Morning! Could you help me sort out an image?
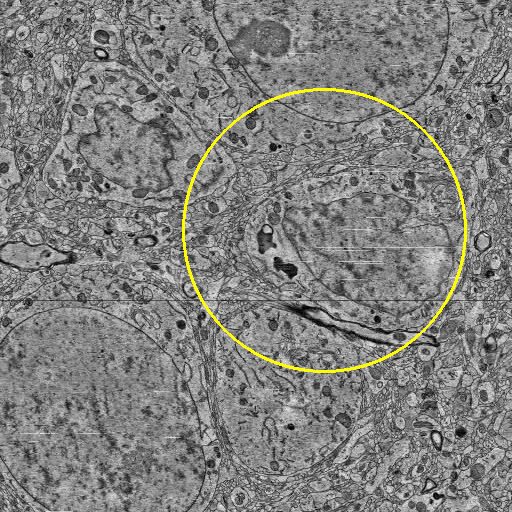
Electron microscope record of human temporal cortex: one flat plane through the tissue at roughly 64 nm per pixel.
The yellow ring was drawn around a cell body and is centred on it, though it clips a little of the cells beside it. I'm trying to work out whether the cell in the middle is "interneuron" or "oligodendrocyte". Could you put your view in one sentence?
The ringed cell body is that of an interneuron.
